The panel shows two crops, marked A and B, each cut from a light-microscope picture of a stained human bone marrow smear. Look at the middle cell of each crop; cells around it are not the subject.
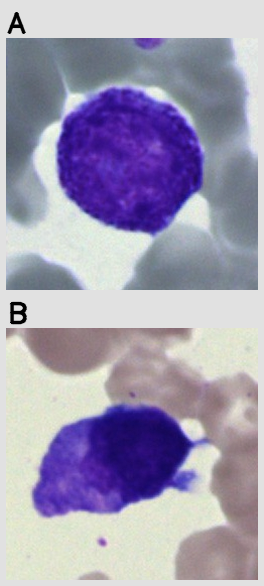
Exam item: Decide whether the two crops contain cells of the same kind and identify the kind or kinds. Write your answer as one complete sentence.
Yes, blasts are depicted in both crops.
